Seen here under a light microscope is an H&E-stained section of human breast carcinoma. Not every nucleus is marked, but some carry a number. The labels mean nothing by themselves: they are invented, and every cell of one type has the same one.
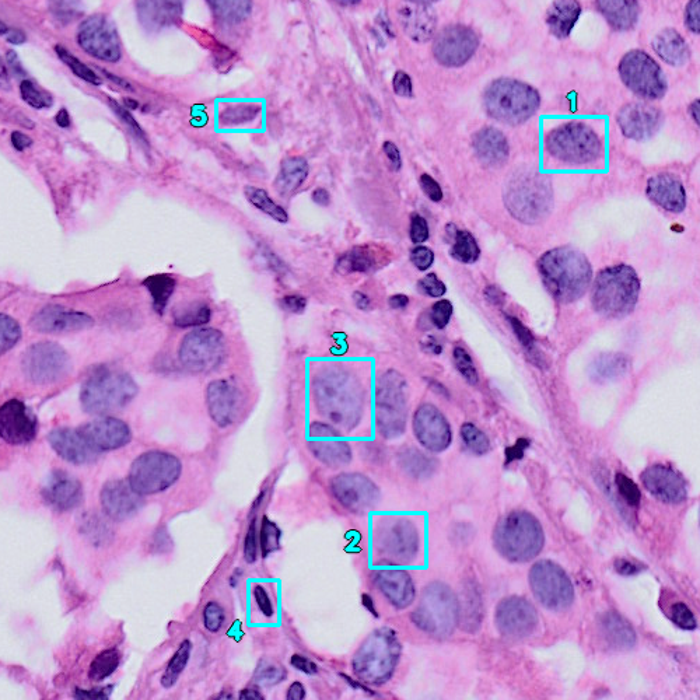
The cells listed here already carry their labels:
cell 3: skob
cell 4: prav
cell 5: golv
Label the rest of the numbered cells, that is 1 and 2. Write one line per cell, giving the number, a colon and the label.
1: skob
2: skob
